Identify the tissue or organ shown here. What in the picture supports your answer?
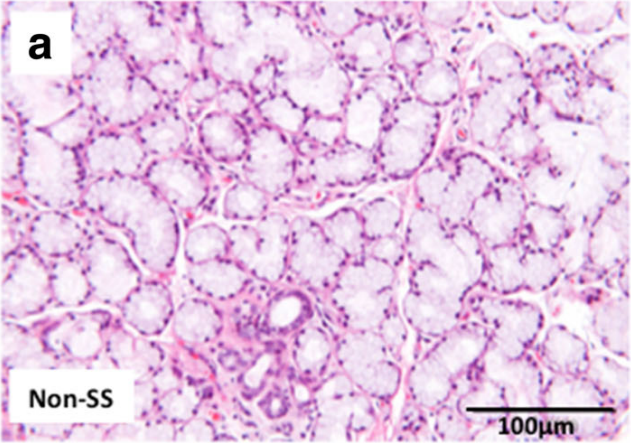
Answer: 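Closely packed acini with pale, foamy cytoplasm and flattened basal nuclei. A small duct with a round lumen lies among the acini. The answer: minor salivary gland.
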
